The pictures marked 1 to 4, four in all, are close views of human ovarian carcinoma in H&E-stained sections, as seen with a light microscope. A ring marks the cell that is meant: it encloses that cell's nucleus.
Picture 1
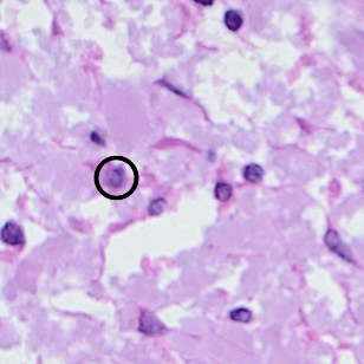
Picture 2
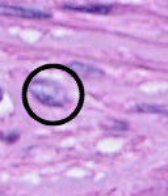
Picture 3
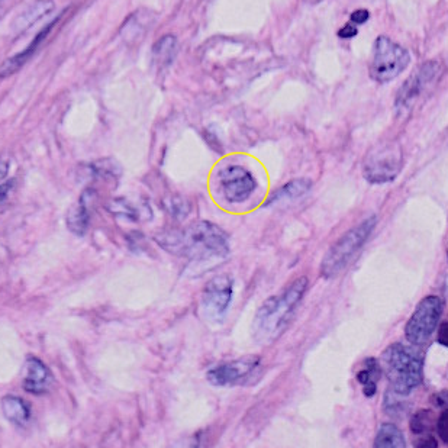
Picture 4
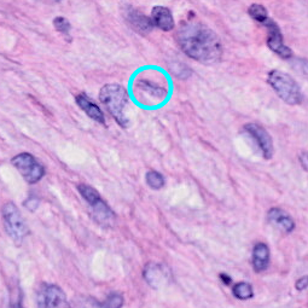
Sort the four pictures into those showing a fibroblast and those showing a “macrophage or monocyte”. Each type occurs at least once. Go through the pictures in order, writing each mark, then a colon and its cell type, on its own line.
1: macrophage or monocyte
2: fibroblast
3: macrophage or monocyte
4: fibroblast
